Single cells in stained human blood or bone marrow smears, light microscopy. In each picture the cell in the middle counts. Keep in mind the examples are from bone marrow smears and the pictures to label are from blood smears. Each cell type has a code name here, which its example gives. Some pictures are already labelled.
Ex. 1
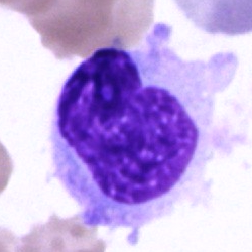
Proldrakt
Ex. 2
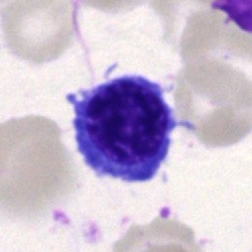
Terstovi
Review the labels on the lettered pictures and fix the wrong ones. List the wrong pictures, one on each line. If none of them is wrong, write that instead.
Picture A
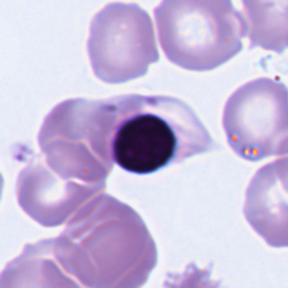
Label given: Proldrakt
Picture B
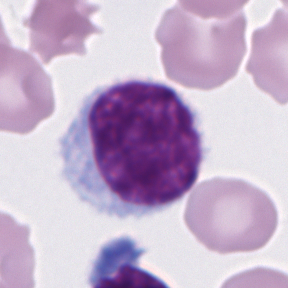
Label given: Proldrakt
Wrong: A (Proldrakt); correct: Terstovi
